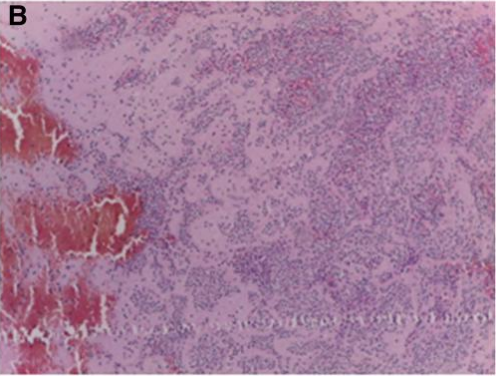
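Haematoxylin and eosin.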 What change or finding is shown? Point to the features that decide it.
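Haemorrhagic areas. At the left edge are large fields of bright red, uniformly eosinophilic material packed with red cells. These red fields are cracked and have no nuclei within them.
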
